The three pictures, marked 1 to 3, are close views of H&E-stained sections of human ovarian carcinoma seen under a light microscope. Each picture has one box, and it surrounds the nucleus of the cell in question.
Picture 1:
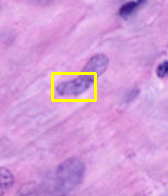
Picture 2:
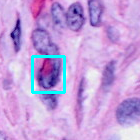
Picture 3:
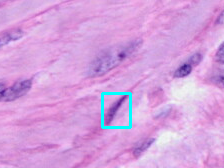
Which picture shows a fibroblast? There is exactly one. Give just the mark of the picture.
3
